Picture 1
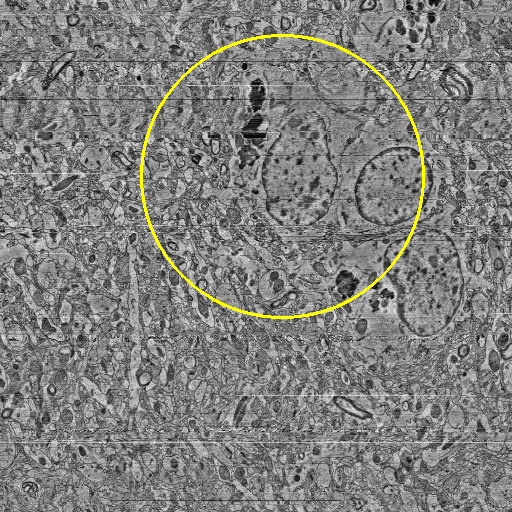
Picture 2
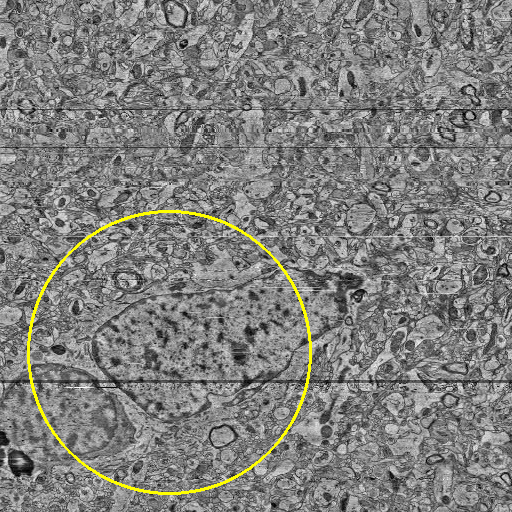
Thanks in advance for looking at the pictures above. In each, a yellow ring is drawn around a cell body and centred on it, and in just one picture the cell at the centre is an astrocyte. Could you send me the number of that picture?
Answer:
1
